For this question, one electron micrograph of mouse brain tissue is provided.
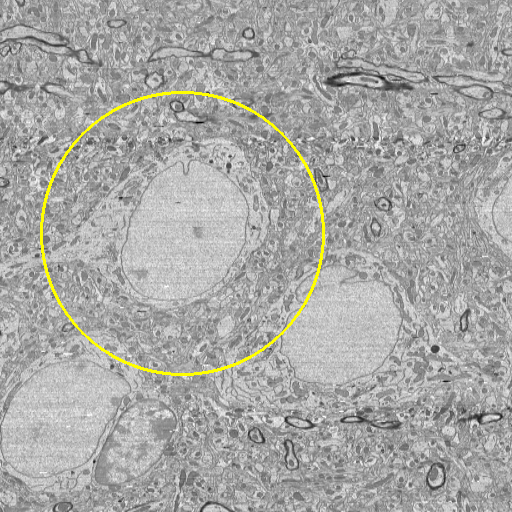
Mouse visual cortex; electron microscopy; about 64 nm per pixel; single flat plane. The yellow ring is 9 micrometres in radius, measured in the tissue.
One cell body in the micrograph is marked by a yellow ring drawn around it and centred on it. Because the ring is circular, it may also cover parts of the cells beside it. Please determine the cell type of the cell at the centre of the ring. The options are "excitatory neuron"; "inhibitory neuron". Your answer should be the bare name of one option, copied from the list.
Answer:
excitatory neuron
